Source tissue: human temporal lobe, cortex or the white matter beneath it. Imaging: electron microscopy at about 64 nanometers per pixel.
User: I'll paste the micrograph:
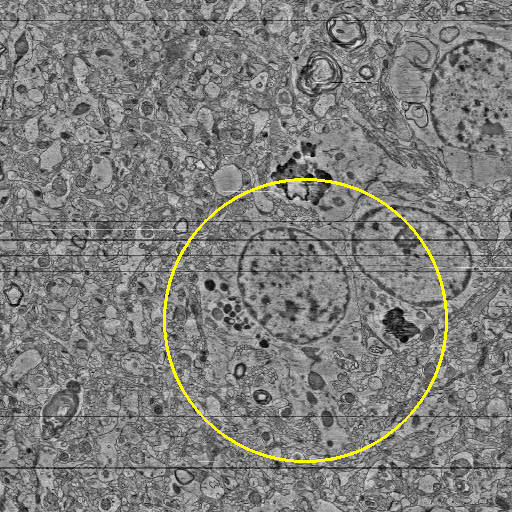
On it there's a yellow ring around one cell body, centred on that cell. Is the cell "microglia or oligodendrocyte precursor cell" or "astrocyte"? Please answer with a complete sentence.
The cell ringed in yellow is an astrocyte.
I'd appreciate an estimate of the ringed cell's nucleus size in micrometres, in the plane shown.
In this plane the nucleus is about 8 micrometres by 7.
